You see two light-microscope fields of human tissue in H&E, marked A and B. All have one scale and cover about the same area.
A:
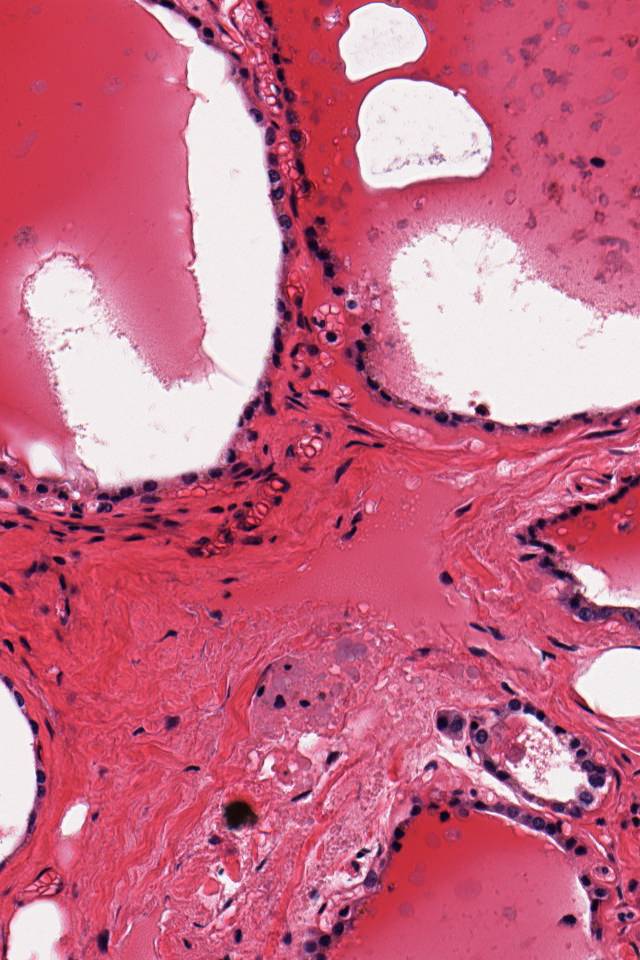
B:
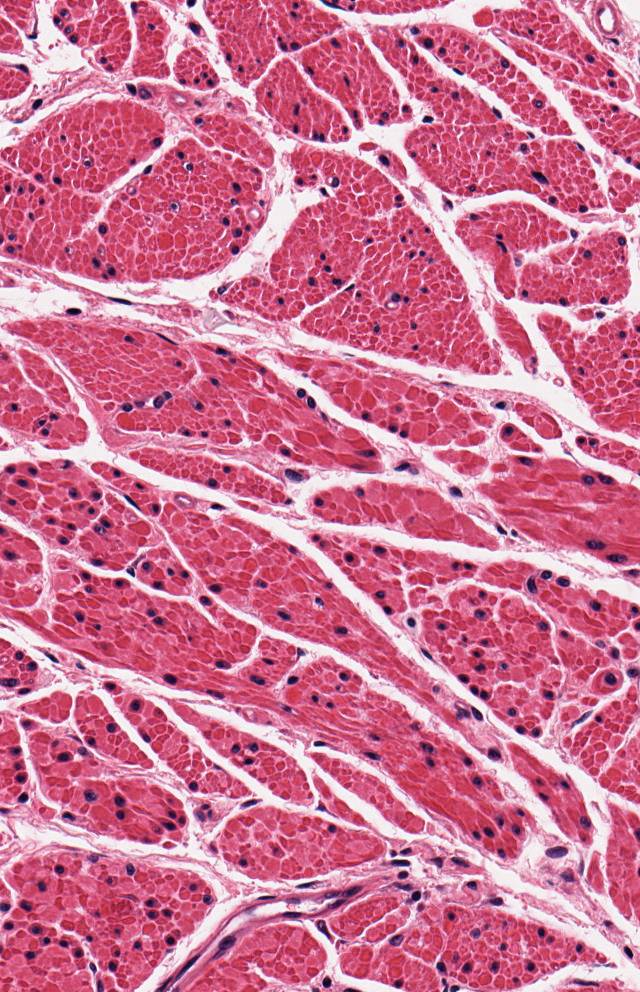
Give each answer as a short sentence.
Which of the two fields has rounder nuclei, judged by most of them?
Rounder nuclei lie in picture B.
